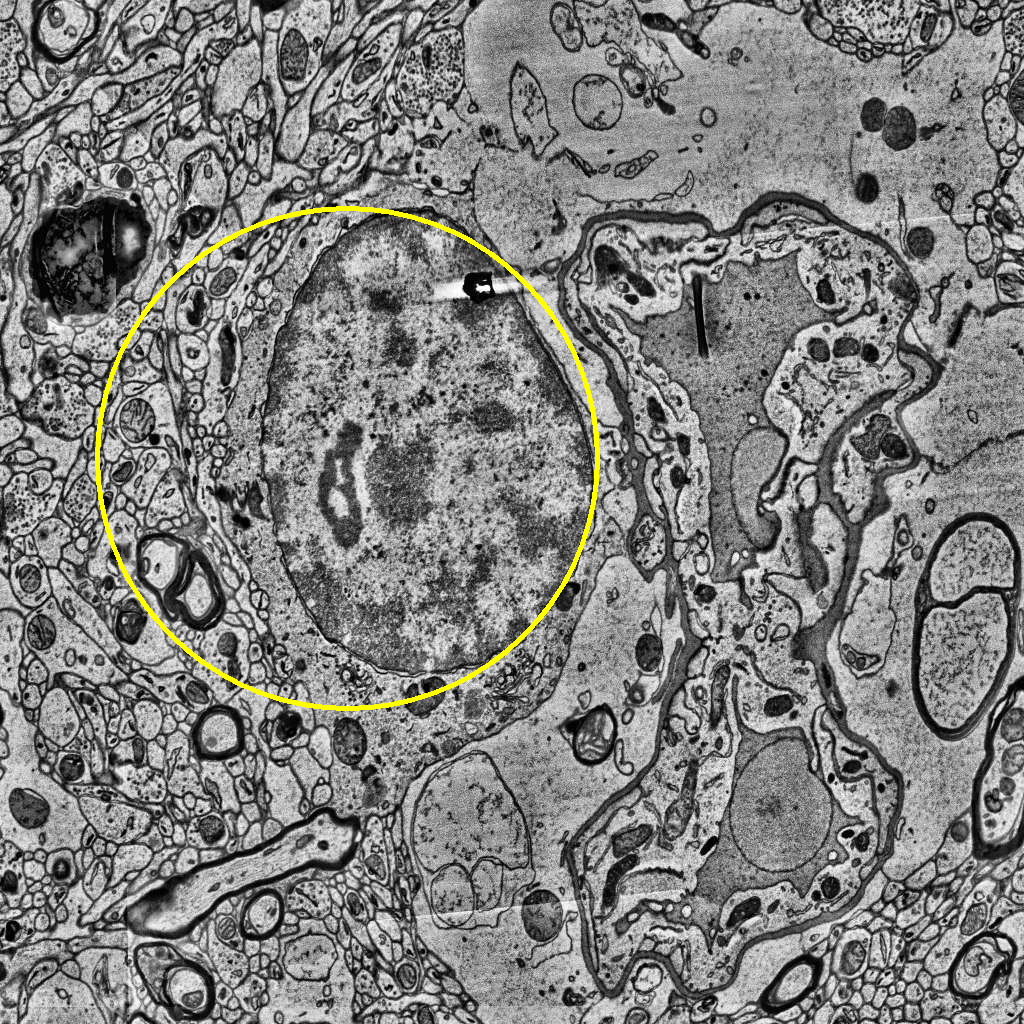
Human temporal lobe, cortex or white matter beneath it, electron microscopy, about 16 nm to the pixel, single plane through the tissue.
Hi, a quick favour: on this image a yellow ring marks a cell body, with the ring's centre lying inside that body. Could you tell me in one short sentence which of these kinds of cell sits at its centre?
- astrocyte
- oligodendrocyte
The ring's centre lies in an oligodendrocyte.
